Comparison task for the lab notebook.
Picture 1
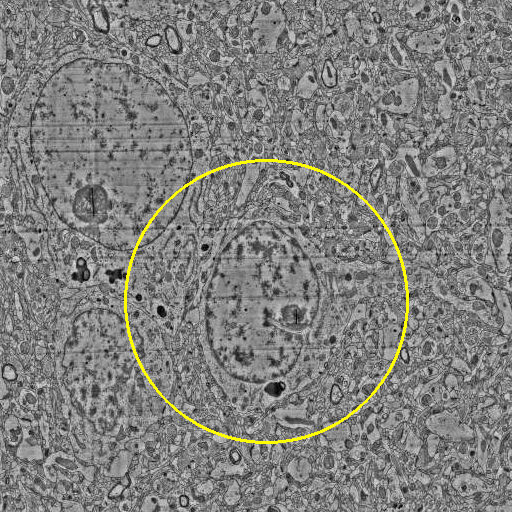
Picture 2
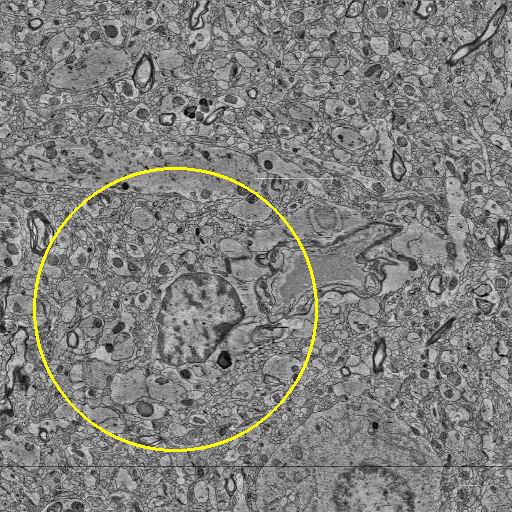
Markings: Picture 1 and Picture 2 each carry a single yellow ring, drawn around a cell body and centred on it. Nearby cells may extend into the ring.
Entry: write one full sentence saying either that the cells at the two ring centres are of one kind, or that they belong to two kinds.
The cells sitting at the ring centres in Picture 1 and Picture 2 belong to two kinds.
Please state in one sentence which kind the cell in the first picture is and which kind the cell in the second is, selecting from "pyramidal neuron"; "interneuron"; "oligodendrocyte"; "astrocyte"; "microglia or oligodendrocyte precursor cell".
The first ringed cell is an interneuron, the second ringed cell a microglial cell or oligodendrocyte precursor cell.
